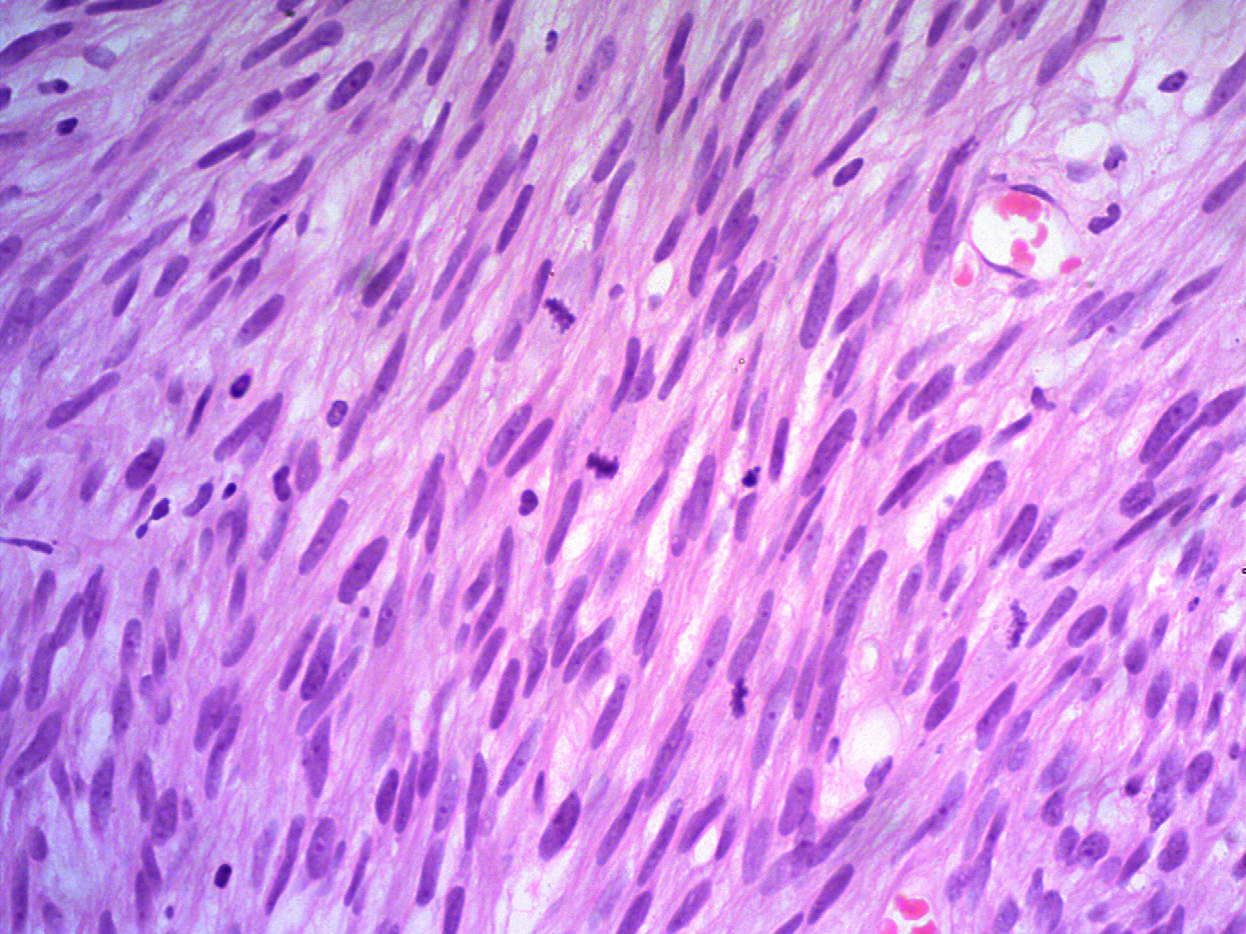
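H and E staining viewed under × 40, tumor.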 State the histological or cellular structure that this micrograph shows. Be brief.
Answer: interlacing fascicles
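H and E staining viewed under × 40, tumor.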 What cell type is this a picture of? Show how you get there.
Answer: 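Cells are long and narrow, tapering at both ends. Nuclei are elongated and aligned along the cells' long axes.
Spindle cells.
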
